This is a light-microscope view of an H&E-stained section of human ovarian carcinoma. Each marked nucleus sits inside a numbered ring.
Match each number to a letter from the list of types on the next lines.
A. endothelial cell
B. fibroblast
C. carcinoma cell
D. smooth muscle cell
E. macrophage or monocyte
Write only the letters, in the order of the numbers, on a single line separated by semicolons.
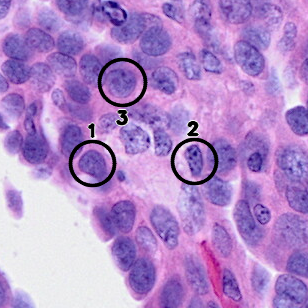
C; E; C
